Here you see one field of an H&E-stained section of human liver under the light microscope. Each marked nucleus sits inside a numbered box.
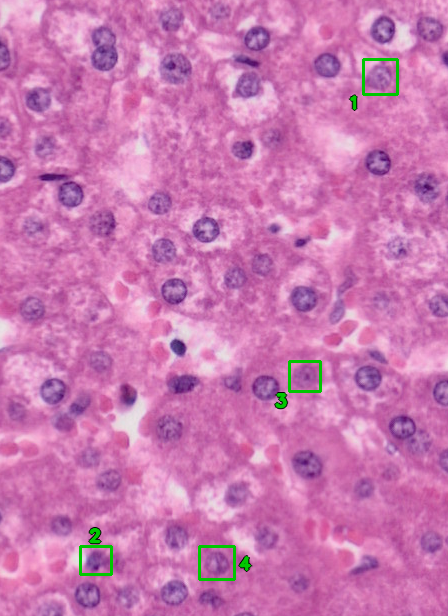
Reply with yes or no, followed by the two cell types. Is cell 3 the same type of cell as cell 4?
Yes, both are hepatocytes.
